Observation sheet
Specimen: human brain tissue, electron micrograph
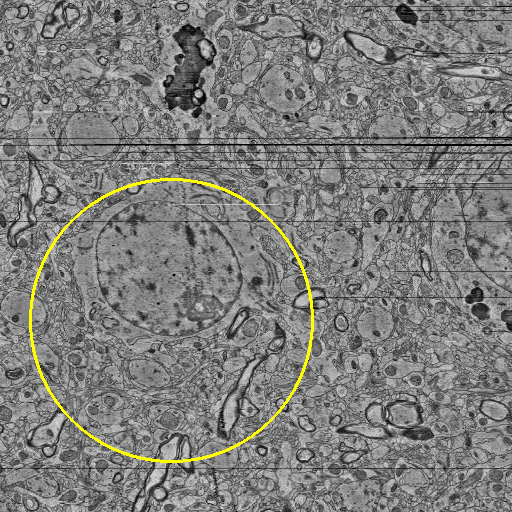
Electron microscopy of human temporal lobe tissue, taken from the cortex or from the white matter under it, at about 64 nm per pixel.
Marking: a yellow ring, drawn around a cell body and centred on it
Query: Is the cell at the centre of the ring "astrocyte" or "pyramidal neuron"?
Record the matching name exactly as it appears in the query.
astrocyte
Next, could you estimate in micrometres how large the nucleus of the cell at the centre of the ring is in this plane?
About 10 by 8 micrometres in this plane.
